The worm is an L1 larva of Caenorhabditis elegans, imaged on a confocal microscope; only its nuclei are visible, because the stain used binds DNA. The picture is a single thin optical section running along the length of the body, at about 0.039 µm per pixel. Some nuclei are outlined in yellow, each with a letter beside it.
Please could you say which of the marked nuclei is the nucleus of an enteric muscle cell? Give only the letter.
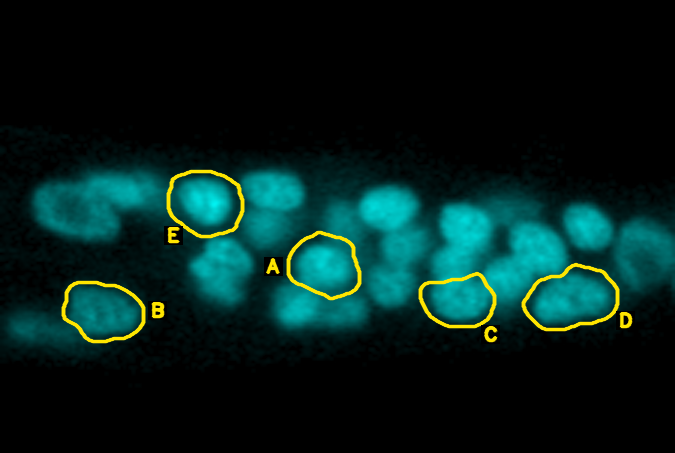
C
